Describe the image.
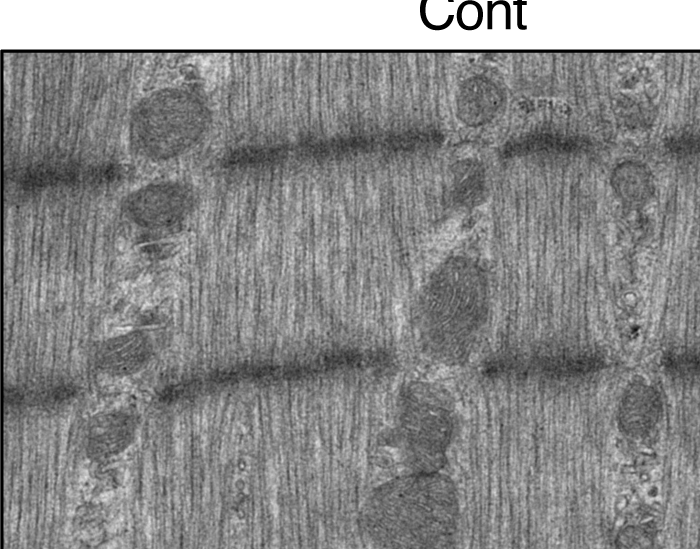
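This electron micrograph shows skeletal muscle fibre cut longitudinally, with regularly aligned myofibrils and sarcomeres bounded by dark transverse Z-lines. Mitochondria lie between the myofibrils, mostly in pairs flanking the Z-lines. They are oval, double-membraned and have a dark matrix filled with tightly packed, regular cristae. Small vesicular profiles of the sarcoplasmic reticulum lie alongside them in the intermyofibrillar spaces.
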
